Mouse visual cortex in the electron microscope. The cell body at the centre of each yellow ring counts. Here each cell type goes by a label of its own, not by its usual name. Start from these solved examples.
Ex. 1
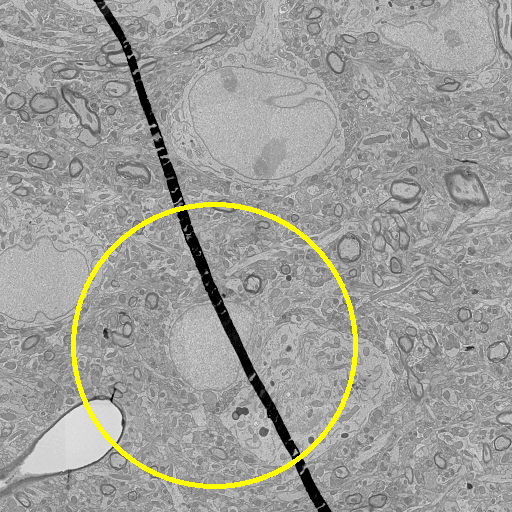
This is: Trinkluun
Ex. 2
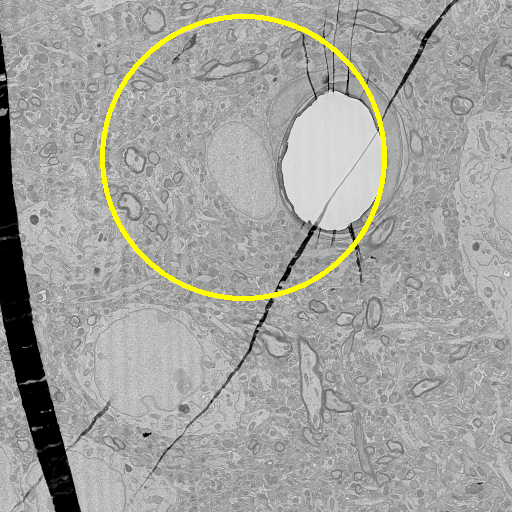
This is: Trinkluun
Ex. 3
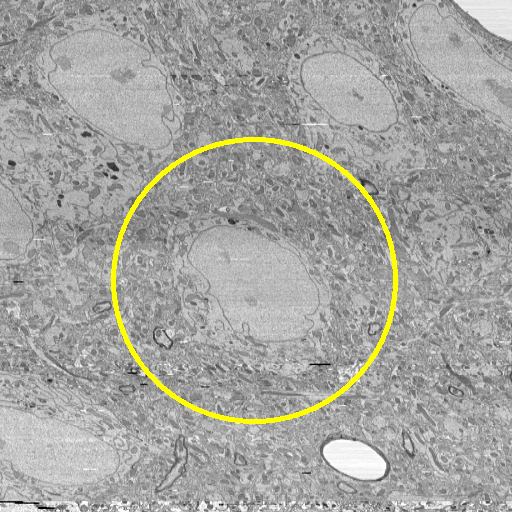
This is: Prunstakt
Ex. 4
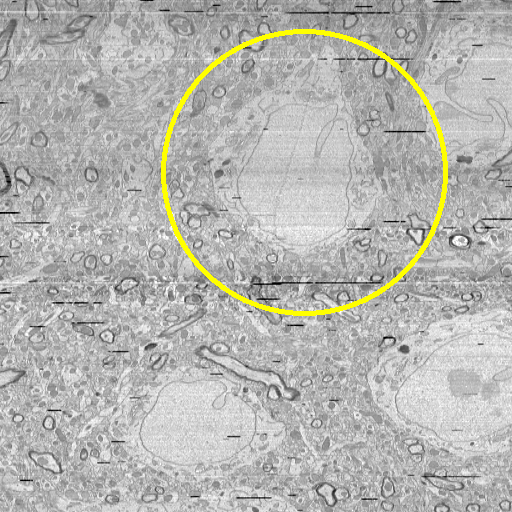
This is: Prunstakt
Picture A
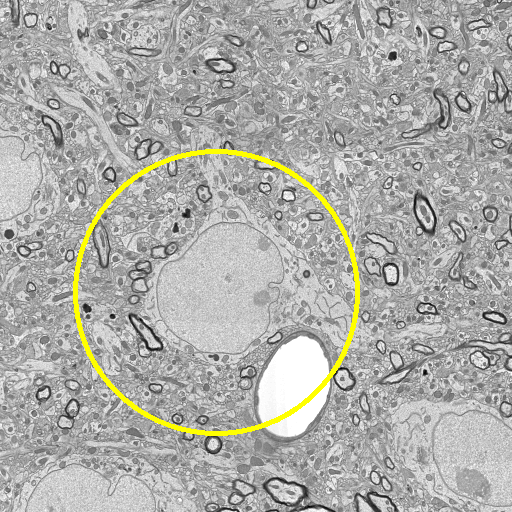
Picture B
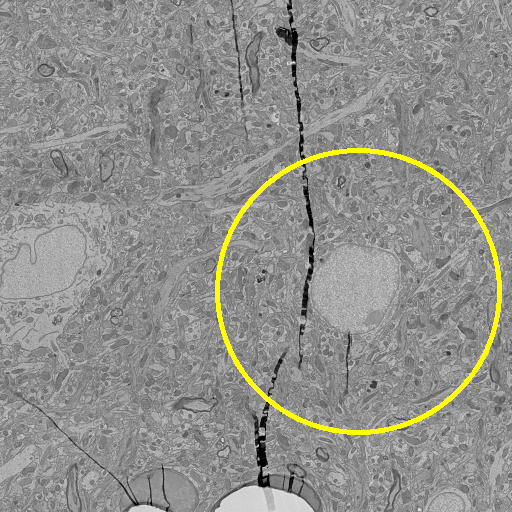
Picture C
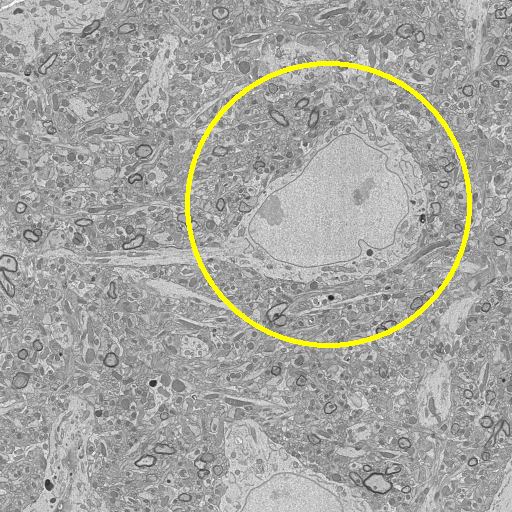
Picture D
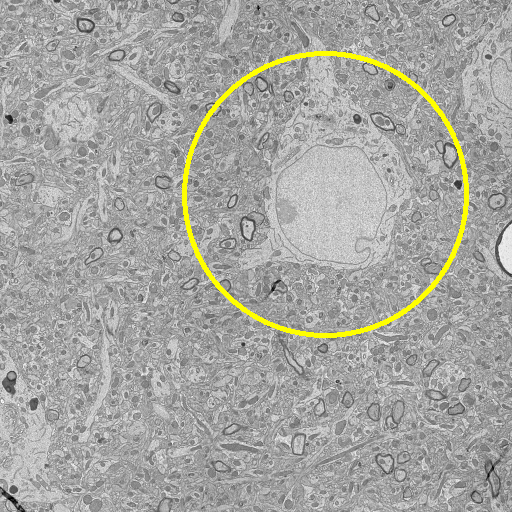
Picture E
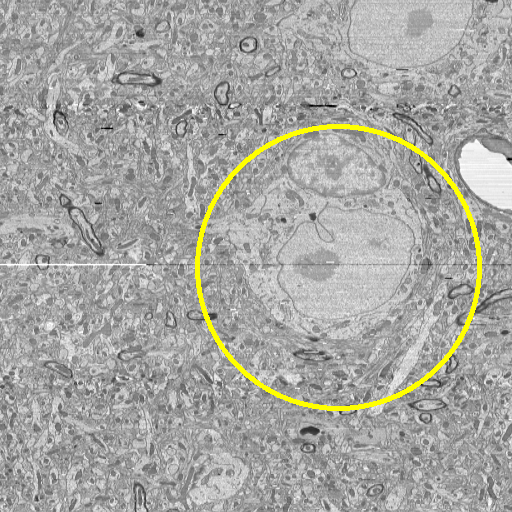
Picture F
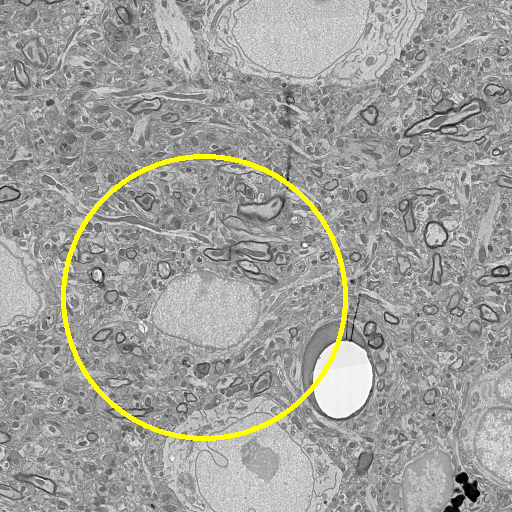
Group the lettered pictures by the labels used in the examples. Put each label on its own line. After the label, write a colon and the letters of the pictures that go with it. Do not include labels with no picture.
Trinkluun: B, F
Prunstakt: A, C, D, E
